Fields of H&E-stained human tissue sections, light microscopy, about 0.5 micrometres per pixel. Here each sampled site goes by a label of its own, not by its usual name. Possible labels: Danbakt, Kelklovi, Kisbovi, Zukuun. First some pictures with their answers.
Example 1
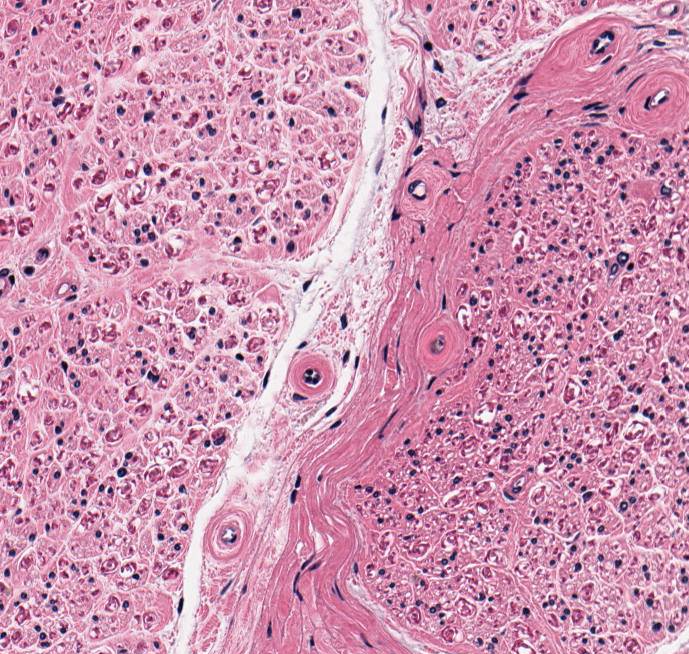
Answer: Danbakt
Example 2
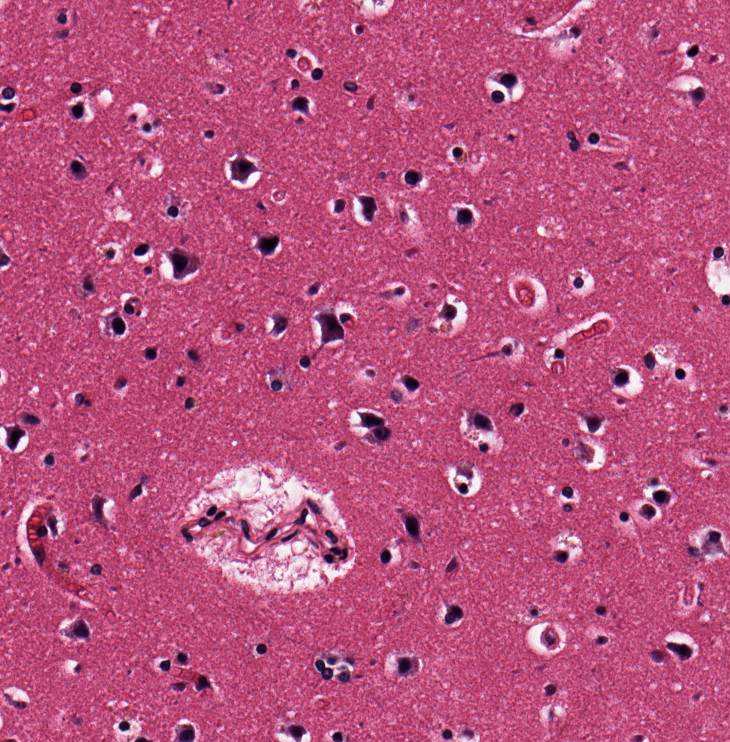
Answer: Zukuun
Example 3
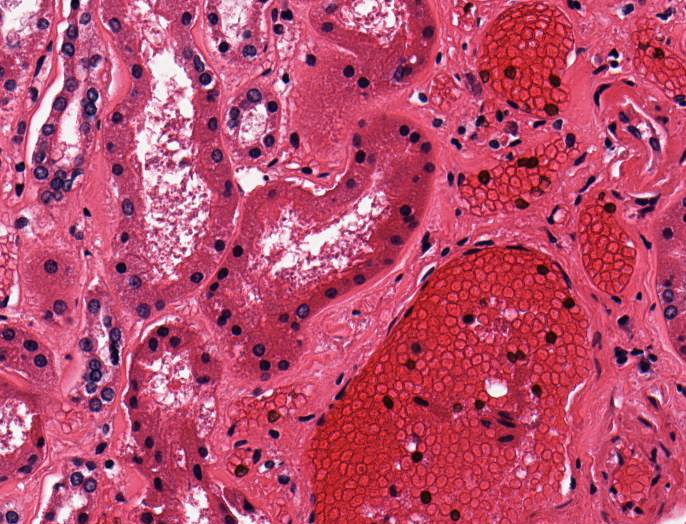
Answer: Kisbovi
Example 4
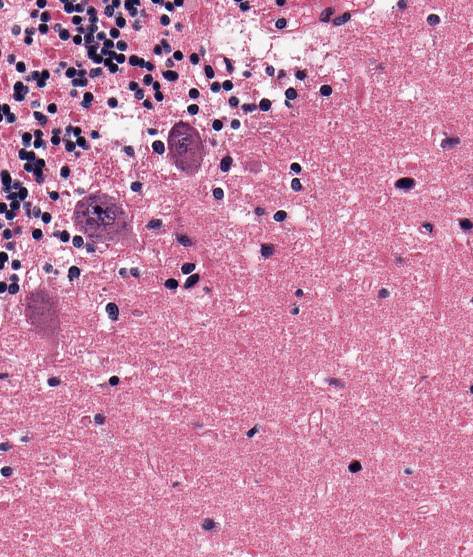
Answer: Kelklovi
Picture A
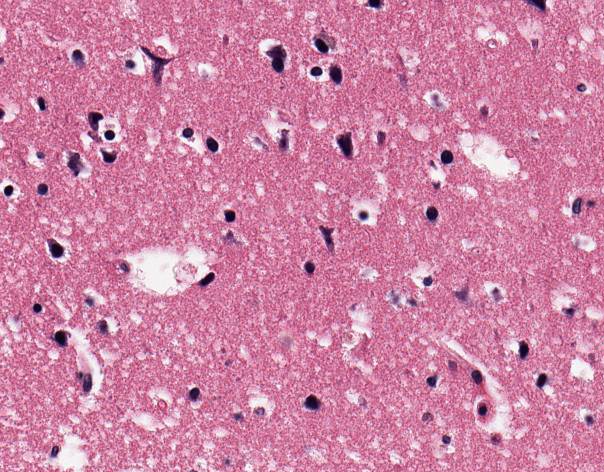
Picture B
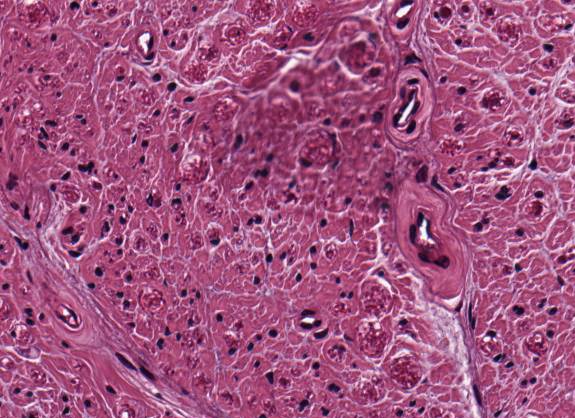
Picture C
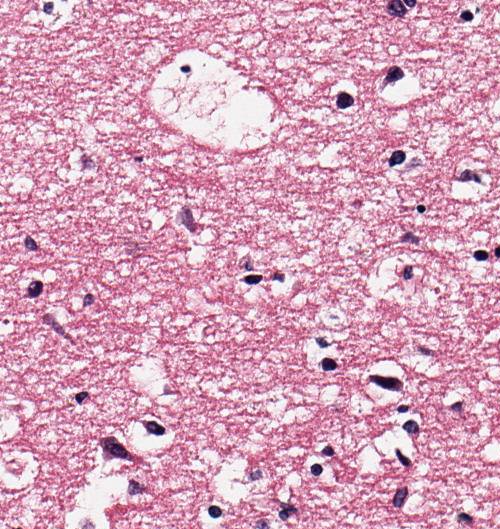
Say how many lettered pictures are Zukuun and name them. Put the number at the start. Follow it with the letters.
Count: 2 (A, C)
